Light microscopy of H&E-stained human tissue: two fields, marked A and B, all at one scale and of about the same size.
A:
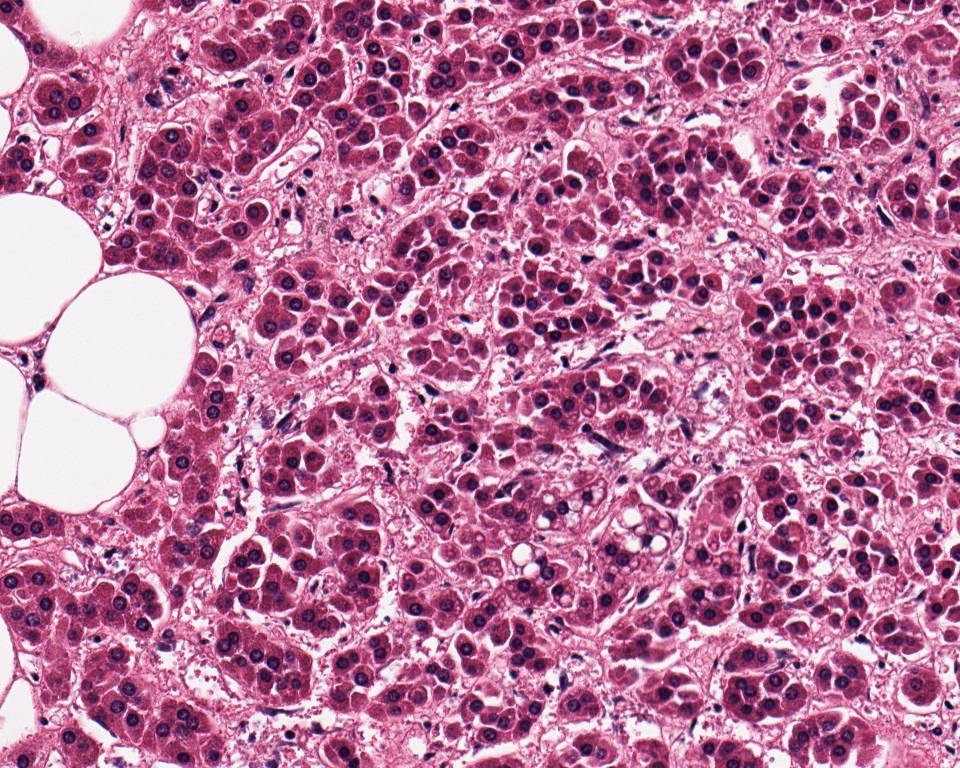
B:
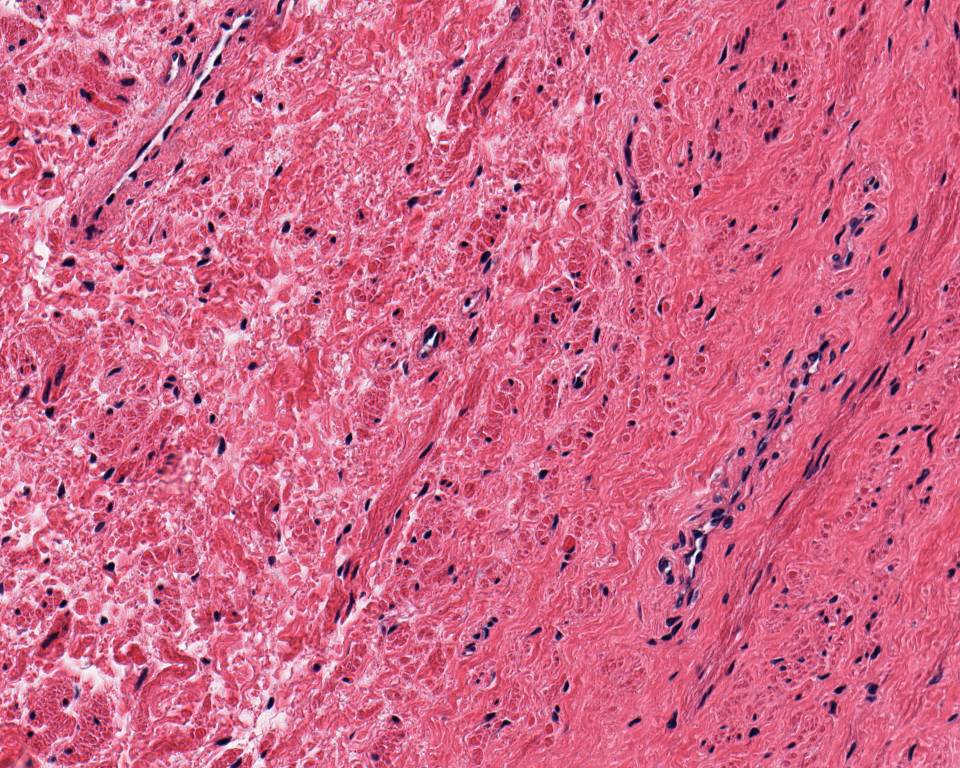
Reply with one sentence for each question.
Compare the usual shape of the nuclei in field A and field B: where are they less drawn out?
Rounder nuclei lie in field A.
